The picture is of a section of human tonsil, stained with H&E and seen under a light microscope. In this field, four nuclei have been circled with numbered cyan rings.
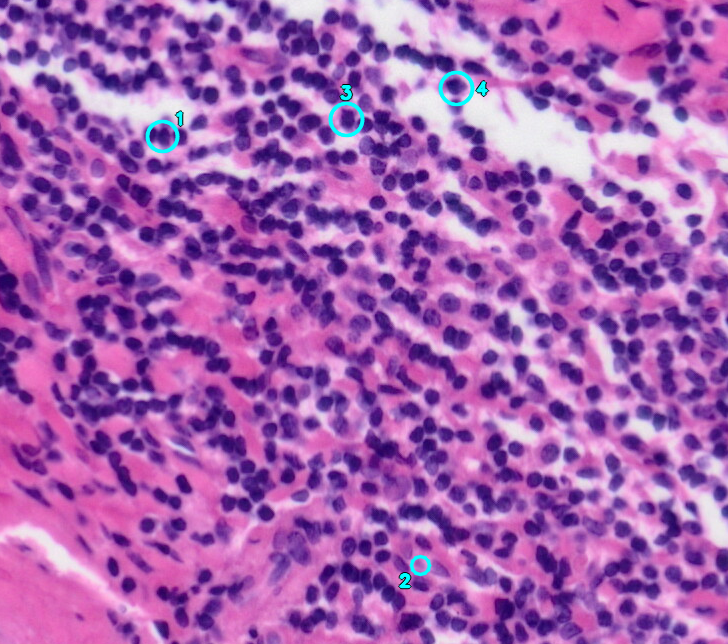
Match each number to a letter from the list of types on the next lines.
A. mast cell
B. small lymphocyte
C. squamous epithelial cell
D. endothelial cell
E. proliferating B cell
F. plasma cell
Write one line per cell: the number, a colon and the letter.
1: B
2: D
3: B
4: B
